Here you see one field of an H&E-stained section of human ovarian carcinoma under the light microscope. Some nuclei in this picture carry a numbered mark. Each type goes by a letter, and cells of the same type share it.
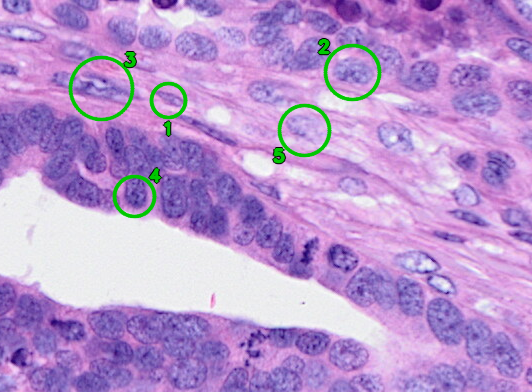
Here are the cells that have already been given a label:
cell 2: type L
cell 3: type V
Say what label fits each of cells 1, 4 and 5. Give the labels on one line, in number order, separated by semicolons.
type V; type L; type V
